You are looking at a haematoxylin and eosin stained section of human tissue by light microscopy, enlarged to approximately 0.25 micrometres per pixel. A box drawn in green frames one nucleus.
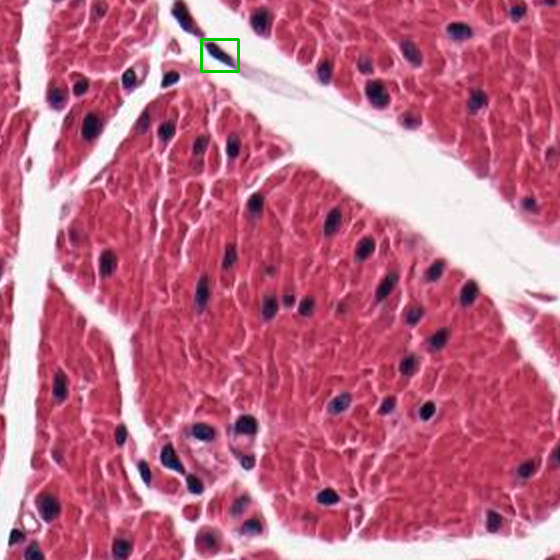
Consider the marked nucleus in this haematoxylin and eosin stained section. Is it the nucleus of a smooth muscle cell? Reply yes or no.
no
